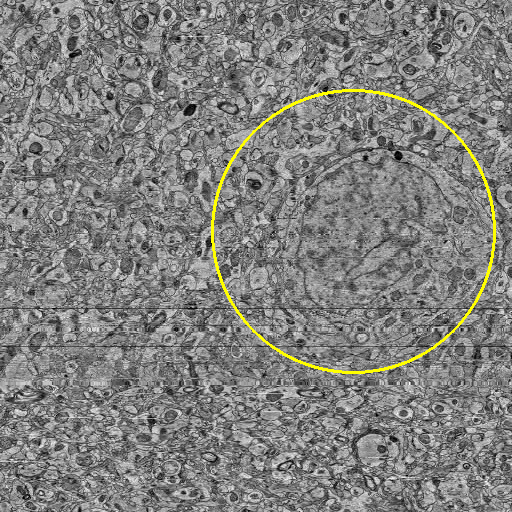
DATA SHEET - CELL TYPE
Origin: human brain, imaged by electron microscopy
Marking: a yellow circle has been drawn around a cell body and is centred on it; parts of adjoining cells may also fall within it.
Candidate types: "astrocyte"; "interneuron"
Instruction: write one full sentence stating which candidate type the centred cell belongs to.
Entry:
The cell body at the centre of the yellow ring in this micrograph belongs to an interneuron.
